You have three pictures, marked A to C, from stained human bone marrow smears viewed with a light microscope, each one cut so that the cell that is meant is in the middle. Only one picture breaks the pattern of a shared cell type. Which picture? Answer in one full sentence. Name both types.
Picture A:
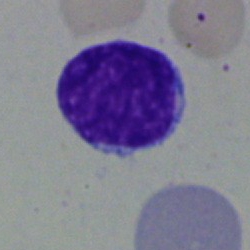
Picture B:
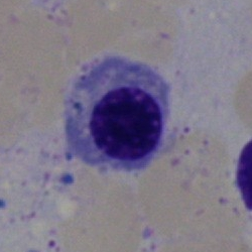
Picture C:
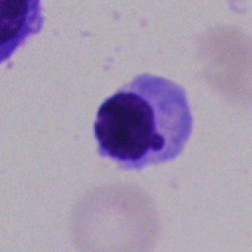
Unlike the rest, which show erythroblasts, picture A shows a lymphocyte.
